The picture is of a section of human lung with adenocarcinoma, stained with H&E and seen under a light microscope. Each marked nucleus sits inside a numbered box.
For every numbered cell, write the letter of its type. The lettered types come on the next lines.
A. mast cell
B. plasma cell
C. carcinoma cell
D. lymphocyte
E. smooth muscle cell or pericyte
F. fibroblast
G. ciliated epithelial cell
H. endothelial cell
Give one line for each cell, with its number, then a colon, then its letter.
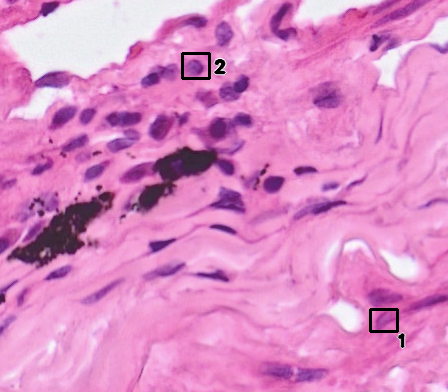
1: E
2: A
